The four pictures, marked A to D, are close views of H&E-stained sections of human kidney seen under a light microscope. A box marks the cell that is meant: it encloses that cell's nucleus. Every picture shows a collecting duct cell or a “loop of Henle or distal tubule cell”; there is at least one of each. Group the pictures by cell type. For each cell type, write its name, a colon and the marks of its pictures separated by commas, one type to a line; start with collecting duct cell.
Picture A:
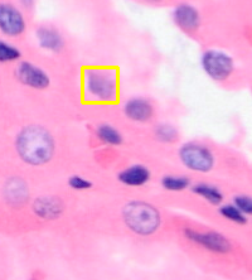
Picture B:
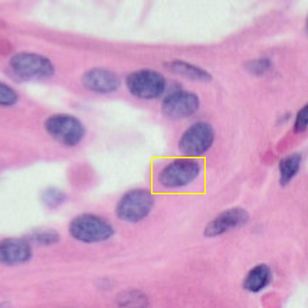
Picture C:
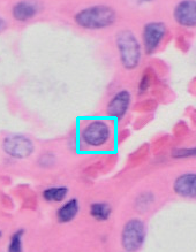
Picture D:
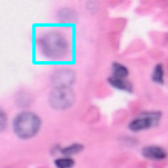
collecting duct cell: C, D
loop of Henle or distal tubule cell: A, B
